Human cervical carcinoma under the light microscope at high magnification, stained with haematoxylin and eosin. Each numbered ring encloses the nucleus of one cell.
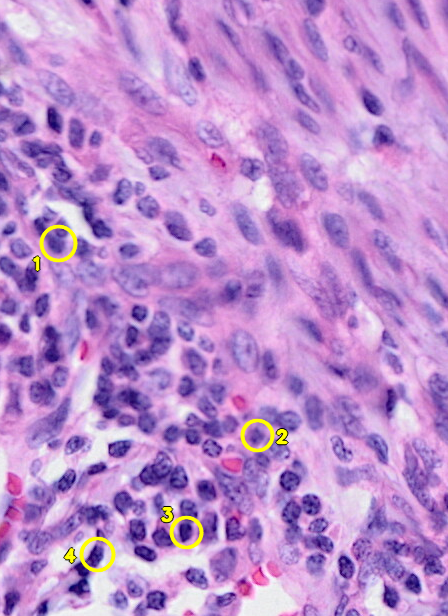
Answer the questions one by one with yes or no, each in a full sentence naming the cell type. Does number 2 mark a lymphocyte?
No, the right label for cell 2 is an endothelial cell rather than a lymphocyte.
